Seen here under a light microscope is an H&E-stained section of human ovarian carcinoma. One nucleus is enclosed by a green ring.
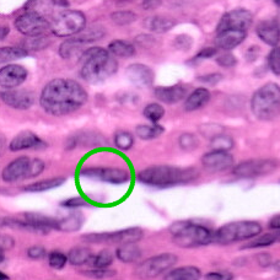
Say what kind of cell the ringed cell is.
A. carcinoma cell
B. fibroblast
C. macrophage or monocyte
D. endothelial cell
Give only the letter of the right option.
D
